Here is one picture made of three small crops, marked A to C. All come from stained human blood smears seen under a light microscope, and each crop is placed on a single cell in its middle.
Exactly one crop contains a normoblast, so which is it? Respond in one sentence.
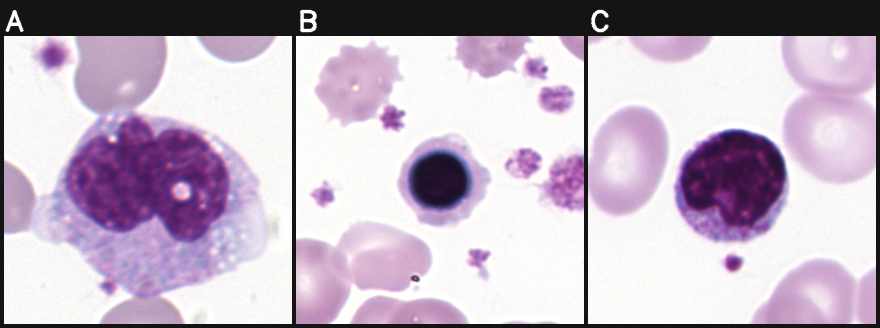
Look at crop B; that is the one with a normoblast in its center.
